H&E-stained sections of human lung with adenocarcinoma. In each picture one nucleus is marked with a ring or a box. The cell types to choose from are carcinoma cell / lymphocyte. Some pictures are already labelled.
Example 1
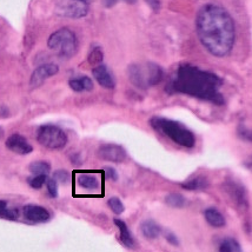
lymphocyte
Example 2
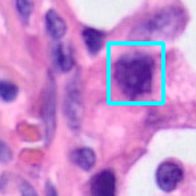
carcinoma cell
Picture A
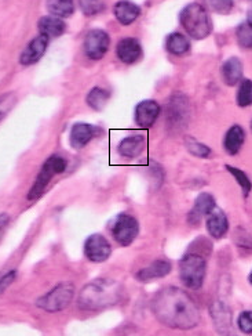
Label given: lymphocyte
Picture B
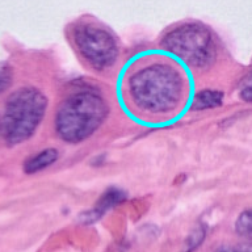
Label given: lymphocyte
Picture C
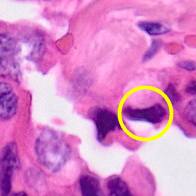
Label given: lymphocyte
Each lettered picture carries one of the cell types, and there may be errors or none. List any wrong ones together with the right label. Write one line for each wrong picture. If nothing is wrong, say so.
B should be carcinoma cell, not lymphocyte
C should be carcinoma cell, not lymphocyte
